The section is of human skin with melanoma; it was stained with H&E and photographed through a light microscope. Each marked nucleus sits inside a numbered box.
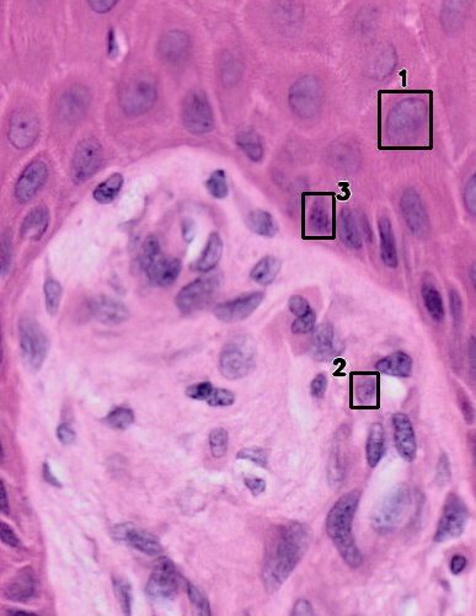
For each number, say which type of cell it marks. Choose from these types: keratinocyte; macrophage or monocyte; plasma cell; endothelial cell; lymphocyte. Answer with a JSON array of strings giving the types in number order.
["keratinocyte", "endothelial cell", "keratinocyte"]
